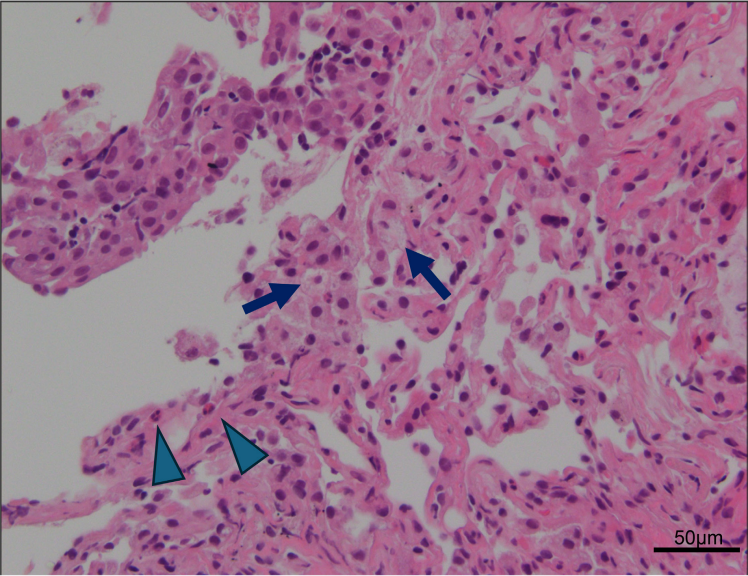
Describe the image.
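This is lung tissue with alveolar walls that are thickened and crowded with inflammatory cells, leaving irregular clear air spaces between them. Along the walls lie clusters of rounded cells with plentiful pale pink, somewhat bubbly cytoplasm and single round nuclei, the look of foamy macrophages. Scattered among the septal tissue are smaller cells with pink cytoplasm, taken as eosinophils infiltrating the interstitium. The walls also contain elongated spindle-shaped nuclei and pink fibrous strands. At the upper left a detached sheet of plump cells with round nuclei and pink cytoplasm lines an air space.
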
